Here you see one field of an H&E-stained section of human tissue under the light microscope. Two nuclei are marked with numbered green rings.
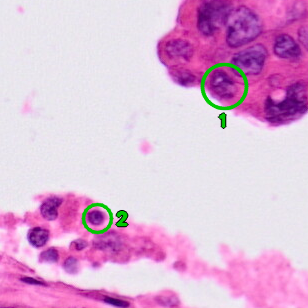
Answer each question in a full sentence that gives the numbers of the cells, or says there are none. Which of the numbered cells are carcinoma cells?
Of all the numbered cells, only one is a carcinoma cell, and that is cell 1.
